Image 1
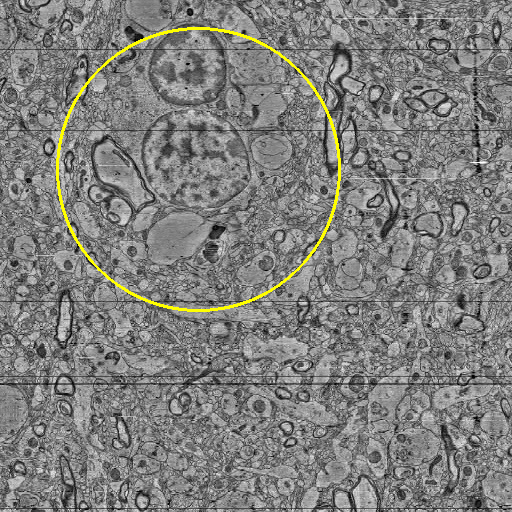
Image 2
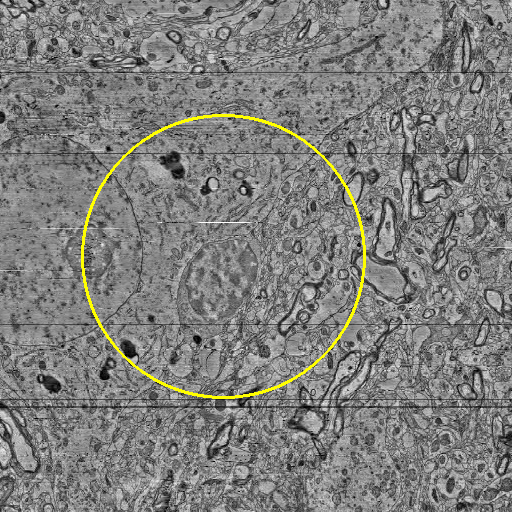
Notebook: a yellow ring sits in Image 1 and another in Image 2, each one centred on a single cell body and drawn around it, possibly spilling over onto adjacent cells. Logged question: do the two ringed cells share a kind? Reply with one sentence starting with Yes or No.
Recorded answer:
Yes, both centre cells inside the rings of Image 1 and Image 2 share one kind.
